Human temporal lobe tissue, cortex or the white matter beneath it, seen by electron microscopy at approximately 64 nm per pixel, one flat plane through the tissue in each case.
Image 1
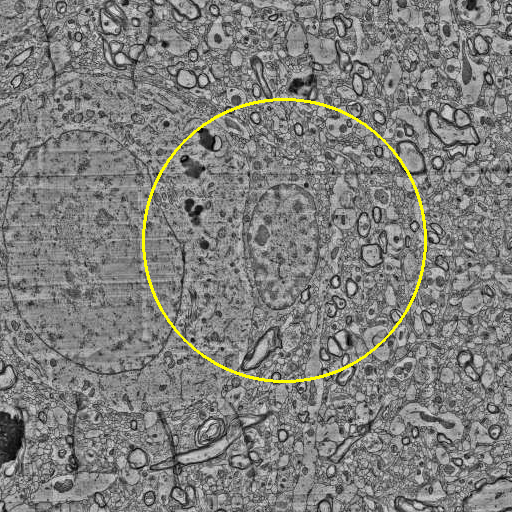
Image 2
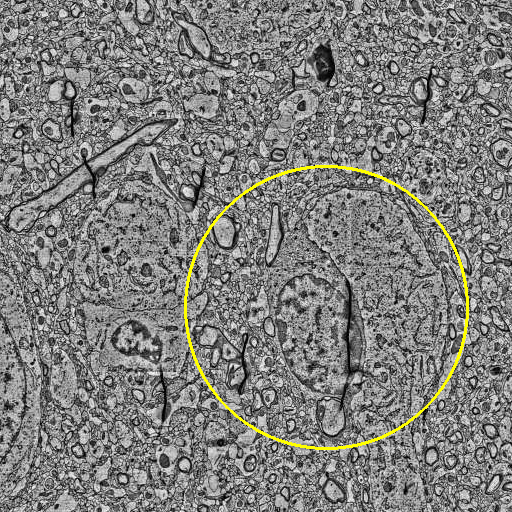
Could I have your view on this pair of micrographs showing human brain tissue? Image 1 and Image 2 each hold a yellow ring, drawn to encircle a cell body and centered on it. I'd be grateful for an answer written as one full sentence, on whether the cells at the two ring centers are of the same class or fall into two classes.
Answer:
The cells at the centers of the two rings are of the same class.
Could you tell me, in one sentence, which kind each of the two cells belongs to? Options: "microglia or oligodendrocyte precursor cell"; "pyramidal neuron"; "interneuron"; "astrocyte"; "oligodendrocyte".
The cell in the first picture is an oligodendrocyte, and so is the one in the second.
